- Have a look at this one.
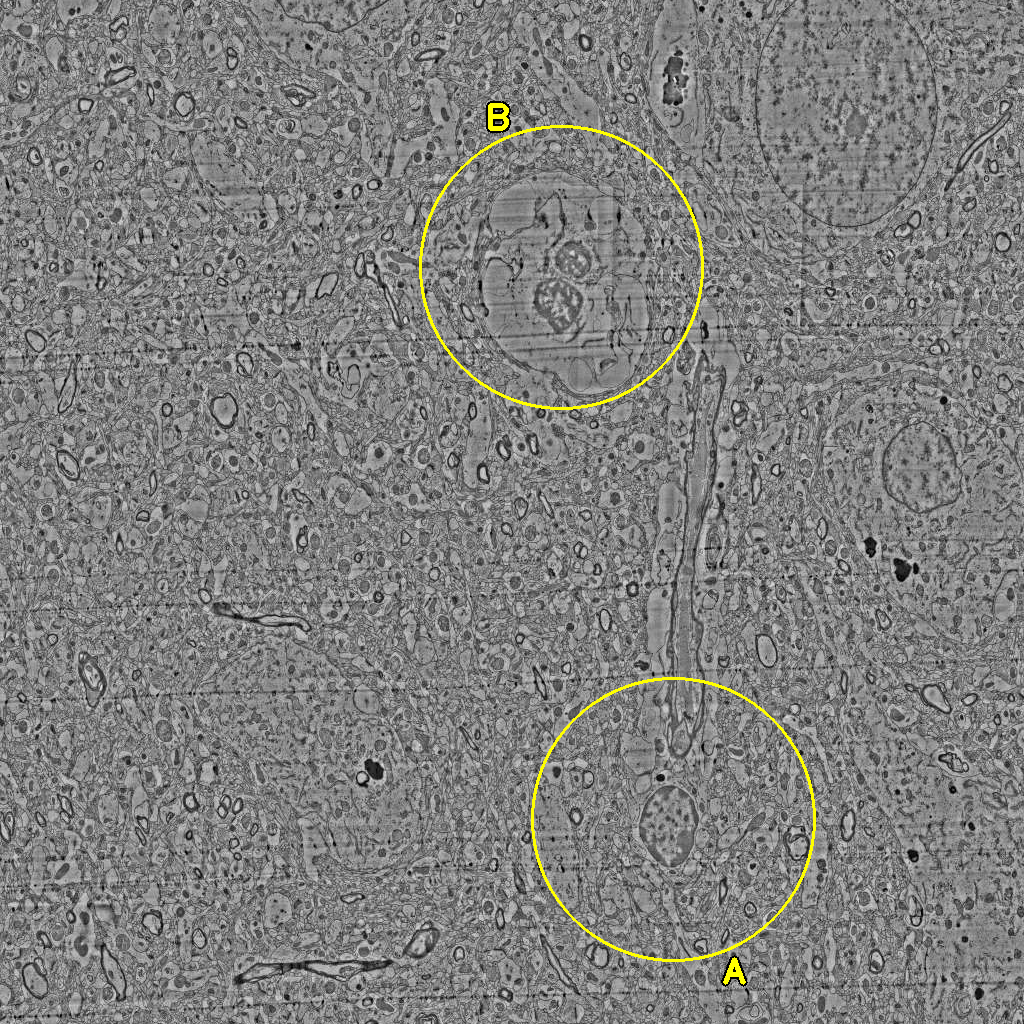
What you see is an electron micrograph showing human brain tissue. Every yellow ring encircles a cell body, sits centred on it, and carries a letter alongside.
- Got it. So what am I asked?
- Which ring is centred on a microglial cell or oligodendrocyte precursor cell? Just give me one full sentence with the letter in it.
The cell asked for sits in the centre of the ring lettered A.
